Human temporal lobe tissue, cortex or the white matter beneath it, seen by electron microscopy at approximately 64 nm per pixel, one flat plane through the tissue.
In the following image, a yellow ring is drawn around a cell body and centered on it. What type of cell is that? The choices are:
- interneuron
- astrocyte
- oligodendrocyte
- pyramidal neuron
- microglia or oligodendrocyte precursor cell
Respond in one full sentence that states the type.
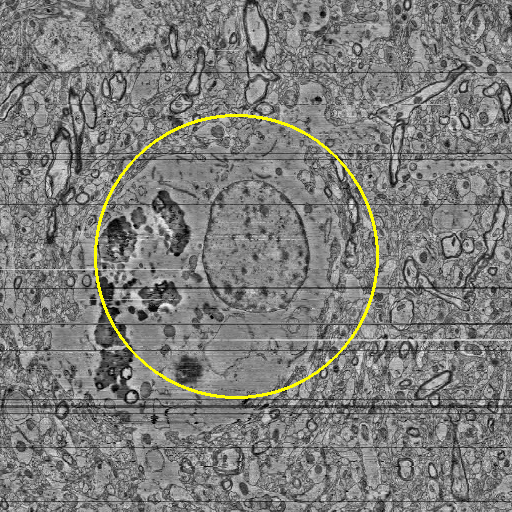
The cell at the center of the yellow ring in the image is an astrocyte.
